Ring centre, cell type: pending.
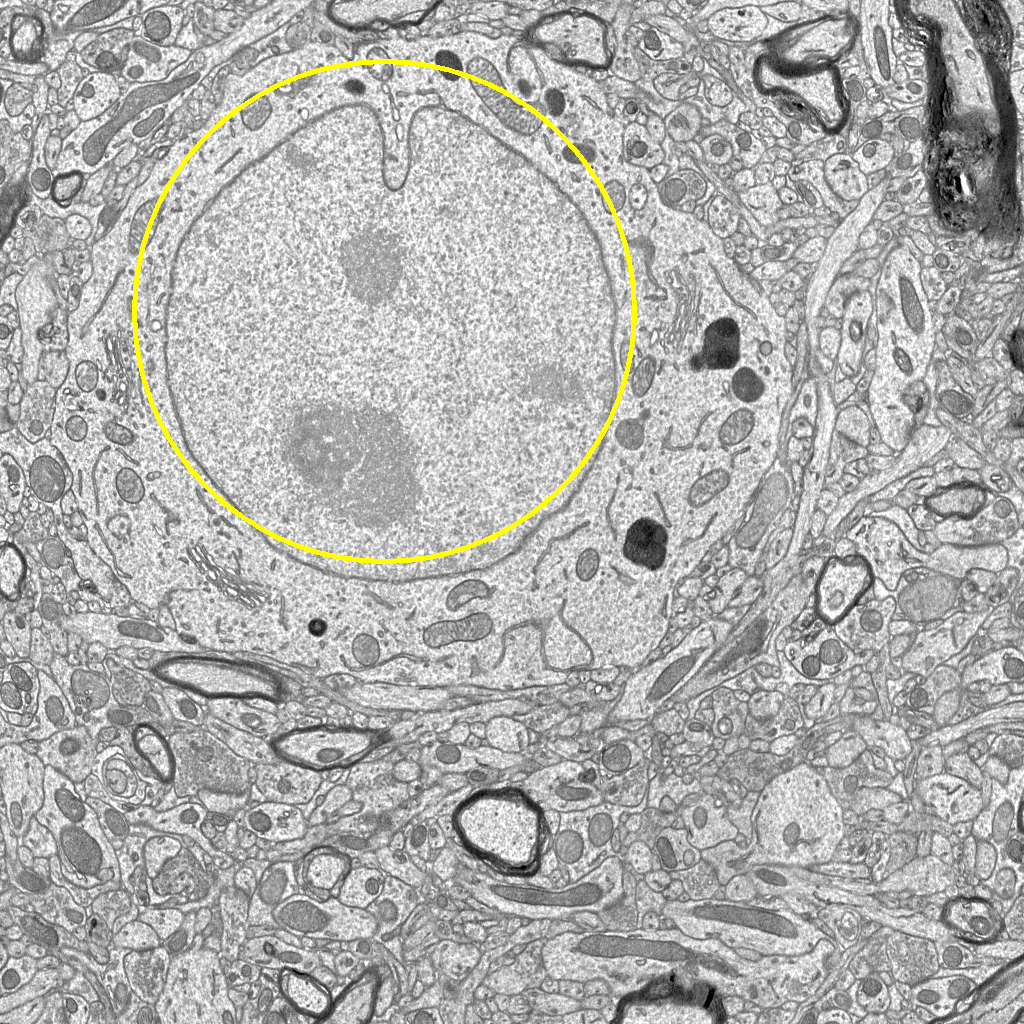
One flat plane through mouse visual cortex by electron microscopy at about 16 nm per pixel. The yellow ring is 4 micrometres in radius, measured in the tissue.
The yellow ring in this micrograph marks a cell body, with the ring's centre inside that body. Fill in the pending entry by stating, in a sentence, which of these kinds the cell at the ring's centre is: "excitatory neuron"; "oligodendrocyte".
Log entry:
The cell at the ring's centre is recorded as an excitatory neuron.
